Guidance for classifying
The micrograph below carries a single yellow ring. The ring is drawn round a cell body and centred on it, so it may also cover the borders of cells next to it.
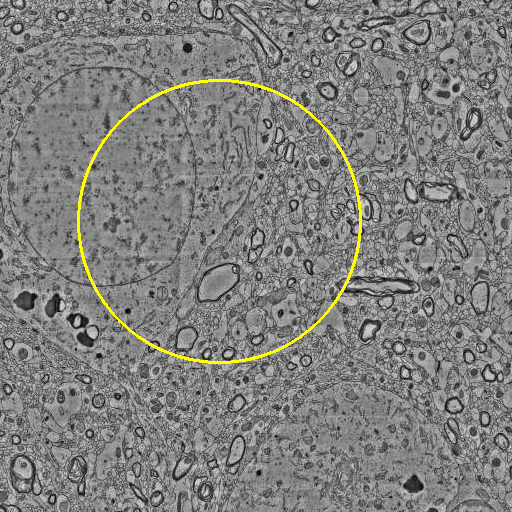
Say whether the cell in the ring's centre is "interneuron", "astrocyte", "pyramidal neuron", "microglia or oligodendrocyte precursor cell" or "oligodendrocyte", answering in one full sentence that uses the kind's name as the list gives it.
Within the yellow ring, an oligodendrocyte is the cell whose body sits at the centre.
